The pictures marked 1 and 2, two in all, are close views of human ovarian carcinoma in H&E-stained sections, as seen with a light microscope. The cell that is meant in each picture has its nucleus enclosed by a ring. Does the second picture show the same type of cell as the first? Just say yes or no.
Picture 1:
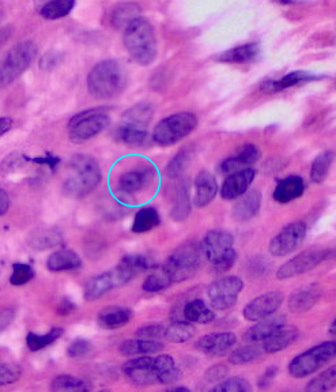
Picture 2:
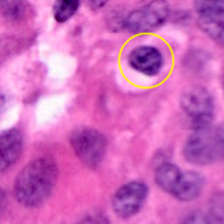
no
